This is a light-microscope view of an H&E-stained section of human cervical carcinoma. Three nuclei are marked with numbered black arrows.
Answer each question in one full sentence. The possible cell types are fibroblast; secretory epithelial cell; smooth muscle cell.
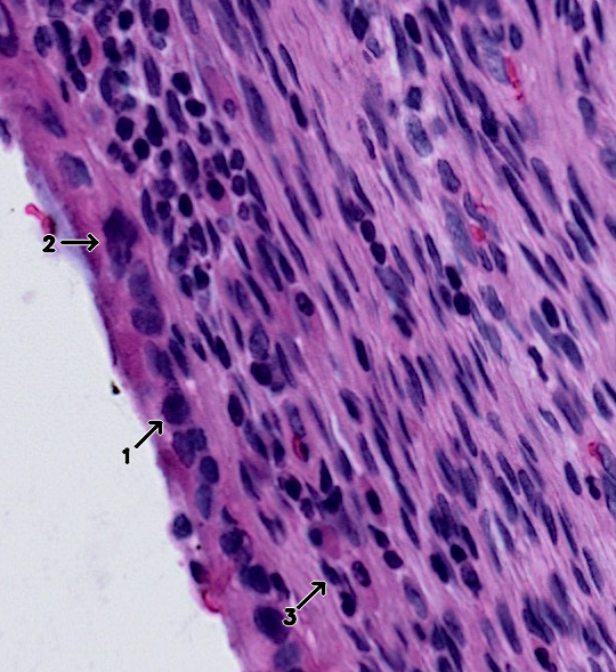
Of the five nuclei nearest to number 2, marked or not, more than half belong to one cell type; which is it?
Around number 2, most of the five nearest nuclei are those of fibroblasts.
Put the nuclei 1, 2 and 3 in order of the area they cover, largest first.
The nuclei rank 2, 1, 3, from largest to smallest.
